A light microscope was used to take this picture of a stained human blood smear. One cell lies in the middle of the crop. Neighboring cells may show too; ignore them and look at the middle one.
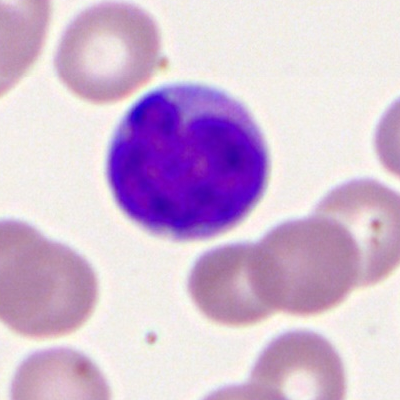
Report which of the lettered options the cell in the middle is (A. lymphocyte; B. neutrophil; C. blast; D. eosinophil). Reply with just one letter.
A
